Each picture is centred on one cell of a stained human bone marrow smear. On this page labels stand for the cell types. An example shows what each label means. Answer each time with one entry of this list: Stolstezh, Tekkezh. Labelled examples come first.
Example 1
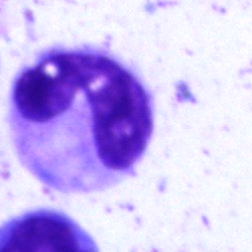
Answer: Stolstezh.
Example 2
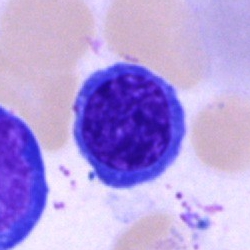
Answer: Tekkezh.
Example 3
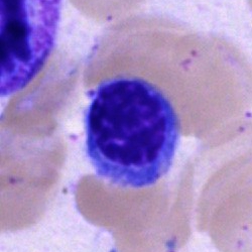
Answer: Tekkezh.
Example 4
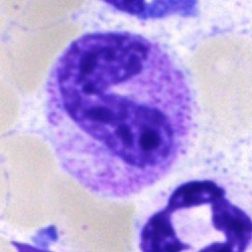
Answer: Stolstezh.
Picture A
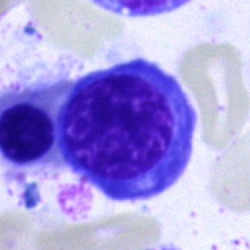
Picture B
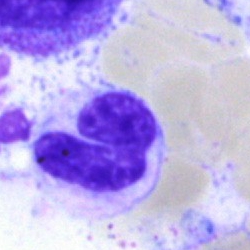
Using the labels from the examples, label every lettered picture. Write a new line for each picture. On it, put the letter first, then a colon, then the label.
A: Tekkezh.
B: Stolstezh.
